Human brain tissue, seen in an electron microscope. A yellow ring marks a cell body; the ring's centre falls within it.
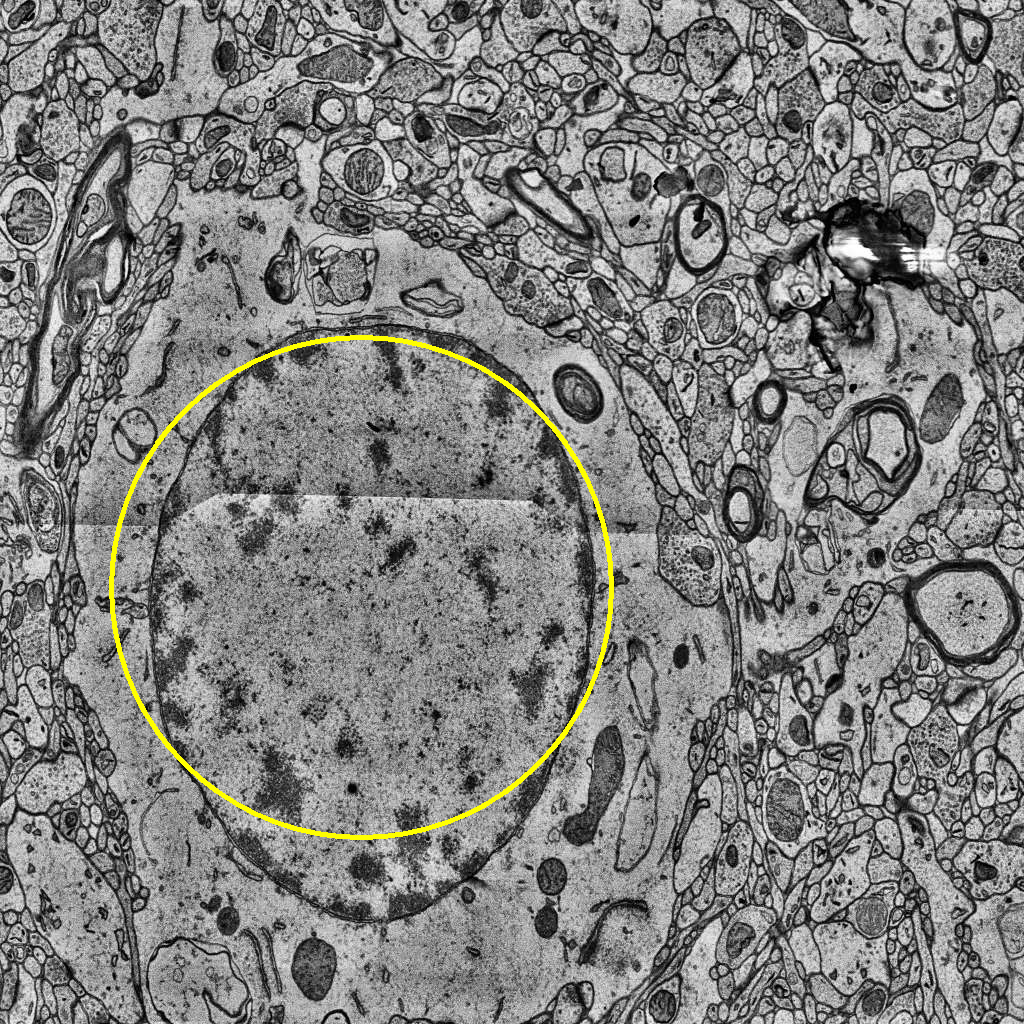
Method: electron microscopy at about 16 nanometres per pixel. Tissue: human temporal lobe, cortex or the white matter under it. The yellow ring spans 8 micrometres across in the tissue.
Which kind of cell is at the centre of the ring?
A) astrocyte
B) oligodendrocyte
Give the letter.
A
